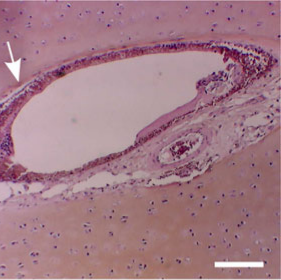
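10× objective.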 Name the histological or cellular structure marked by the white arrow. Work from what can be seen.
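The arrow points to a dense pink-purple rim lining the channel. The rim is darker than the pale pink surrounding matrix.
Answer: margin that stains intensely eosinophilic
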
